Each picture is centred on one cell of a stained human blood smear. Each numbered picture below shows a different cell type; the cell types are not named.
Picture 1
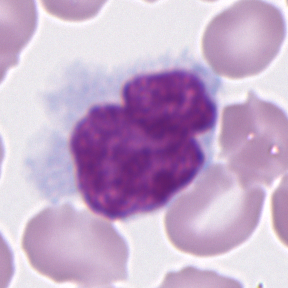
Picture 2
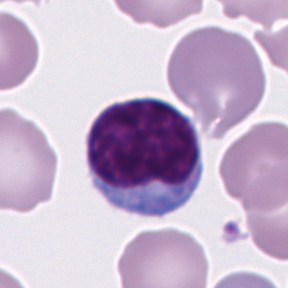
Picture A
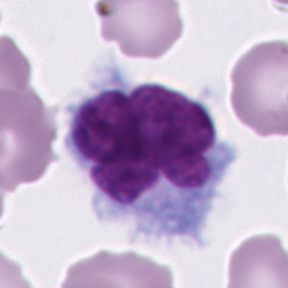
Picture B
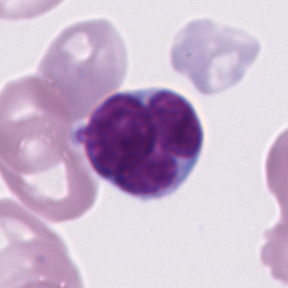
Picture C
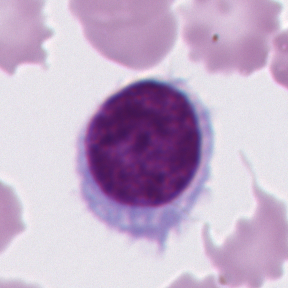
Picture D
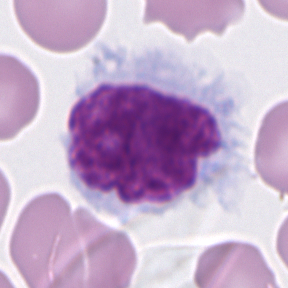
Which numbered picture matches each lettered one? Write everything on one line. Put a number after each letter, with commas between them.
A 1, B 2, C 1, D 1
